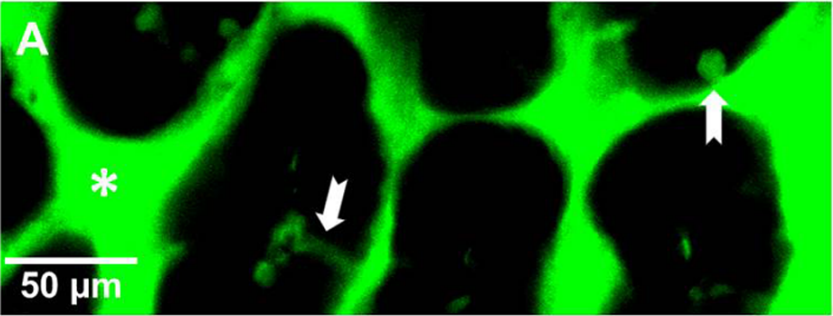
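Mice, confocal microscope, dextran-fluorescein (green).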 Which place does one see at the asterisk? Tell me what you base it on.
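Lumen. The asterisk lies in a bright green space between dark rounded villus profiles. The green fills the gaps surrounding the villi.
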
